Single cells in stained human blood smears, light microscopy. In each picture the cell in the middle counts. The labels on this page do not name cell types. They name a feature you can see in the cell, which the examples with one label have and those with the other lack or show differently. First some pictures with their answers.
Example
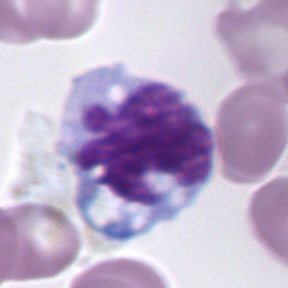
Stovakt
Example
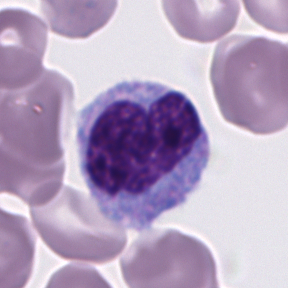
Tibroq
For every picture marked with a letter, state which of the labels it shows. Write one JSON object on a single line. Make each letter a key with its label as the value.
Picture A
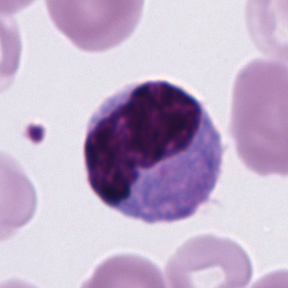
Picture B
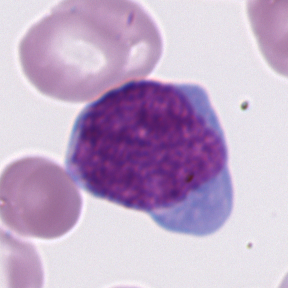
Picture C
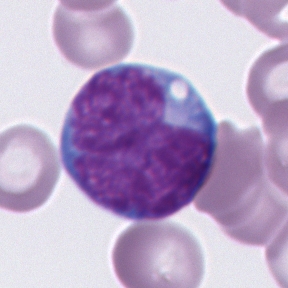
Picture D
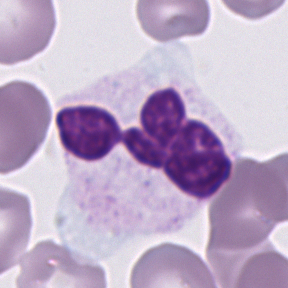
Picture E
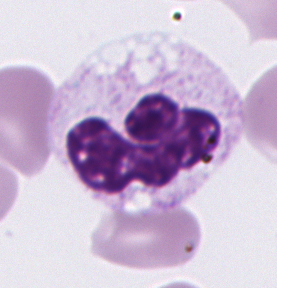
{"A": "Tibroq", "B": "Tibroq", "C": "Stovakt", "D": "Tibroq", "E": "Stovakt"}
